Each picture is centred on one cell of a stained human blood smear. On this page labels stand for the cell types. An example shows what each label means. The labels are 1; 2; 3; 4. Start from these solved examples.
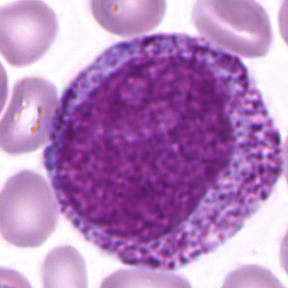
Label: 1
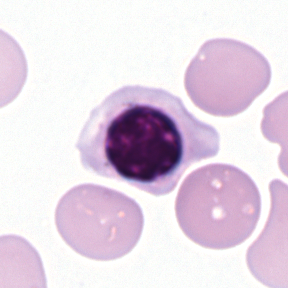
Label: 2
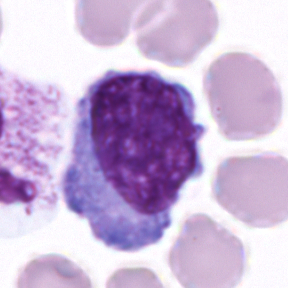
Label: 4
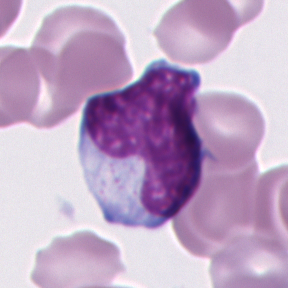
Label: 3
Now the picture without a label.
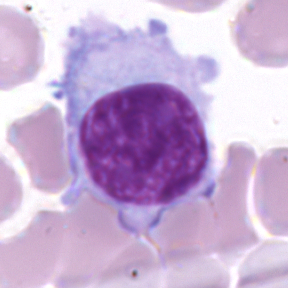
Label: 4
